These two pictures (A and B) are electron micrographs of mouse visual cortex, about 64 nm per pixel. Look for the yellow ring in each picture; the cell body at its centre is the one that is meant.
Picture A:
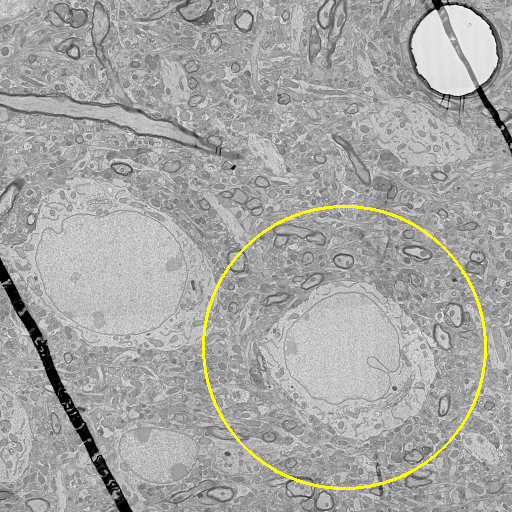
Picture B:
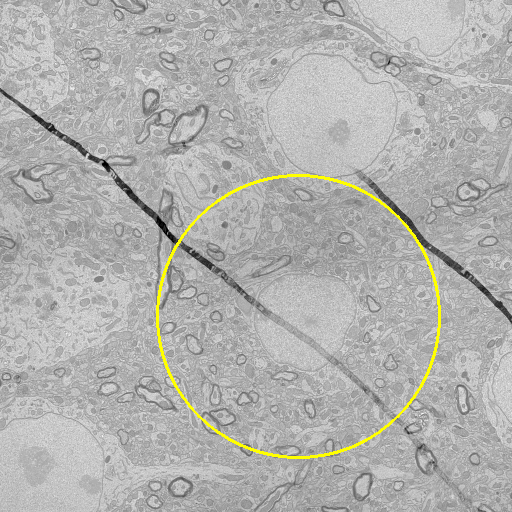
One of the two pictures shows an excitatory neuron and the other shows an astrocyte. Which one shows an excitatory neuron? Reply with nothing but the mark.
A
